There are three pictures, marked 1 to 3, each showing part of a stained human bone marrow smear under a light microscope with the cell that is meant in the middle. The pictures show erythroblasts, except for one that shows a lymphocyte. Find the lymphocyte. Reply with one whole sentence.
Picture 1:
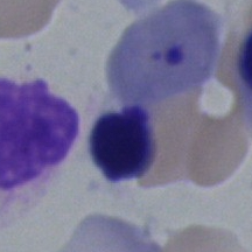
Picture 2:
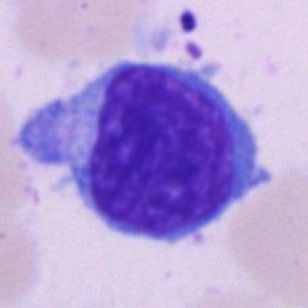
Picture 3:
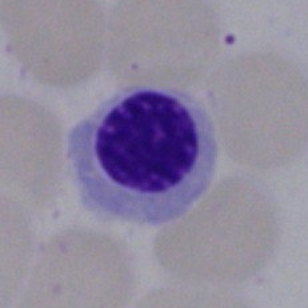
The lymphocyte is the one in picture 2.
